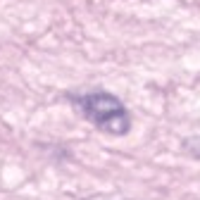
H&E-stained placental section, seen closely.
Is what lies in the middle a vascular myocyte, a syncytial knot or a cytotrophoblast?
It is a vascular myocyte.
